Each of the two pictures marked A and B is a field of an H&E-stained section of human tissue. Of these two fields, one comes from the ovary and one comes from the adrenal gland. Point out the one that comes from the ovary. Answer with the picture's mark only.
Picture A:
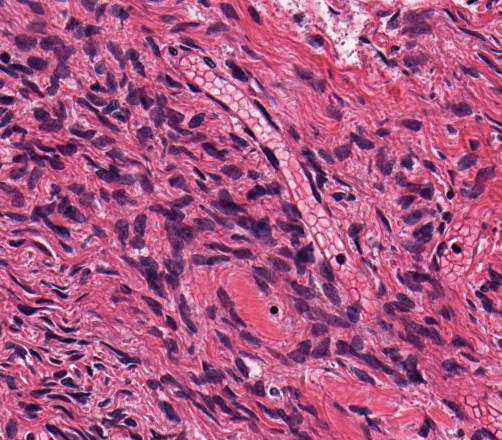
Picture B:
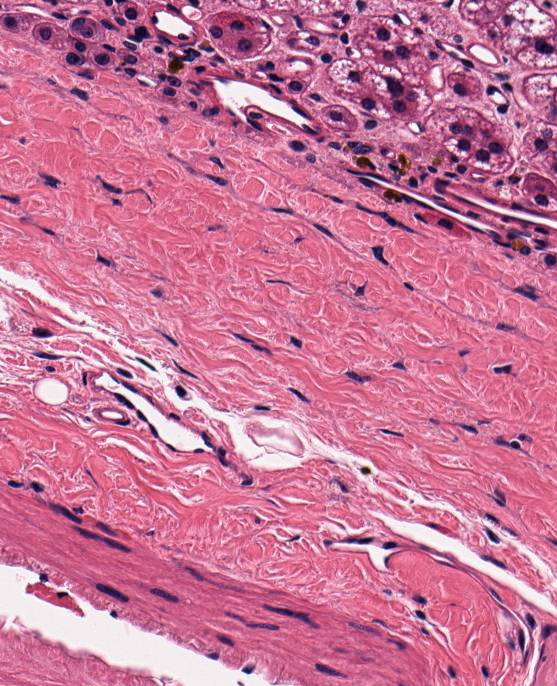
A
